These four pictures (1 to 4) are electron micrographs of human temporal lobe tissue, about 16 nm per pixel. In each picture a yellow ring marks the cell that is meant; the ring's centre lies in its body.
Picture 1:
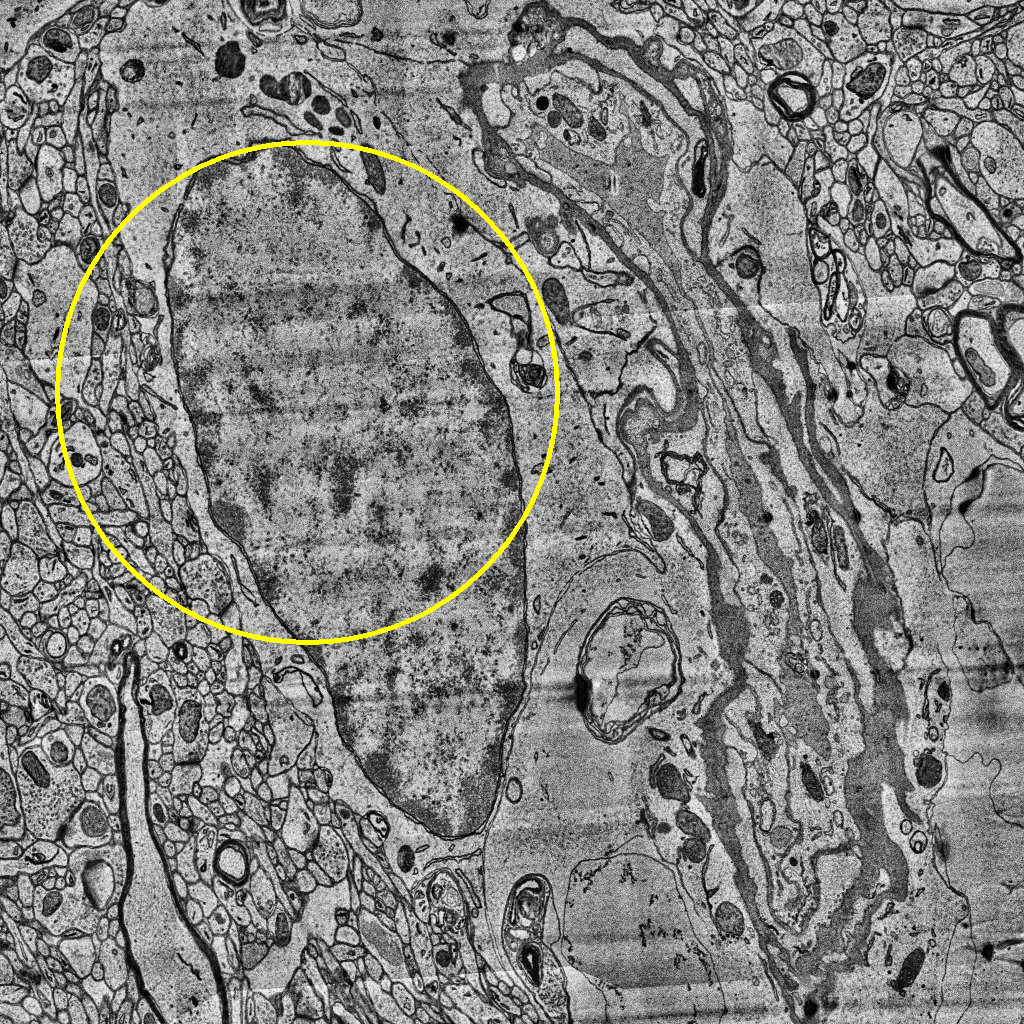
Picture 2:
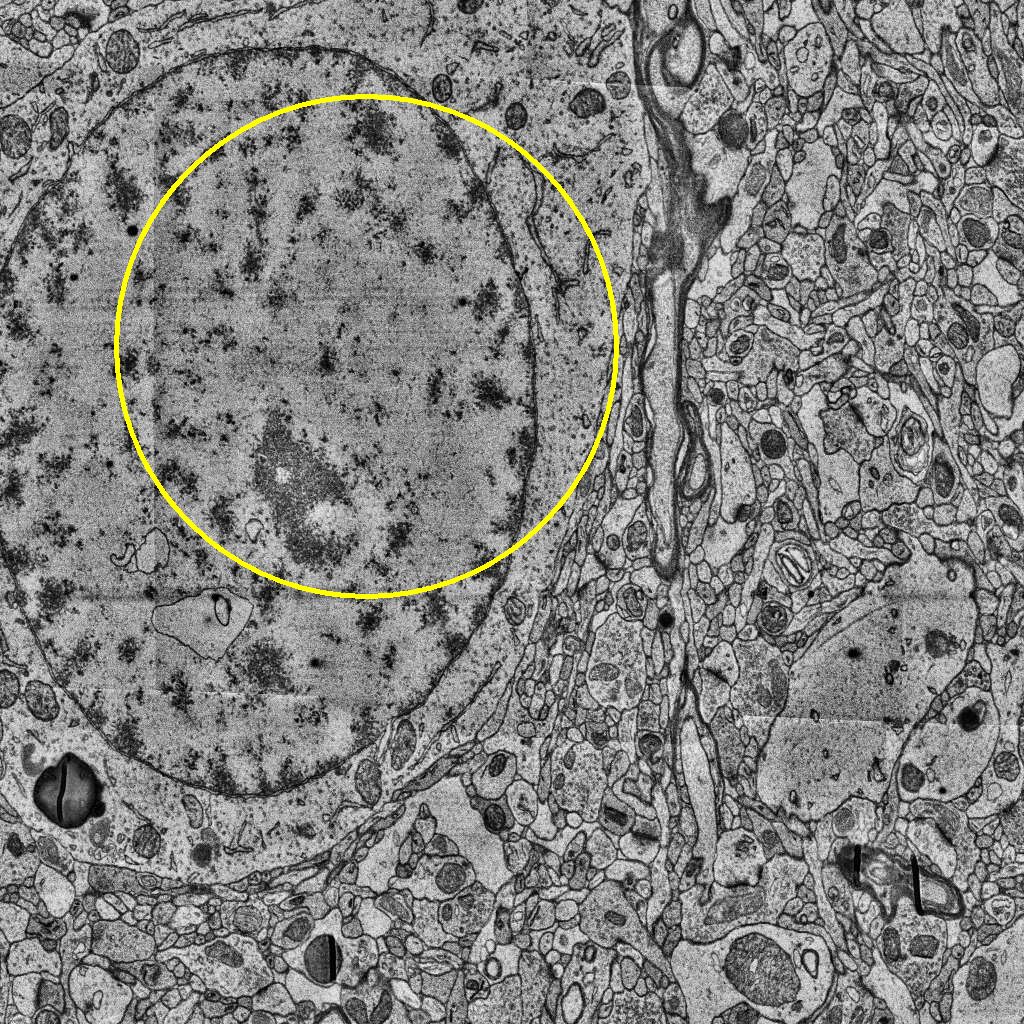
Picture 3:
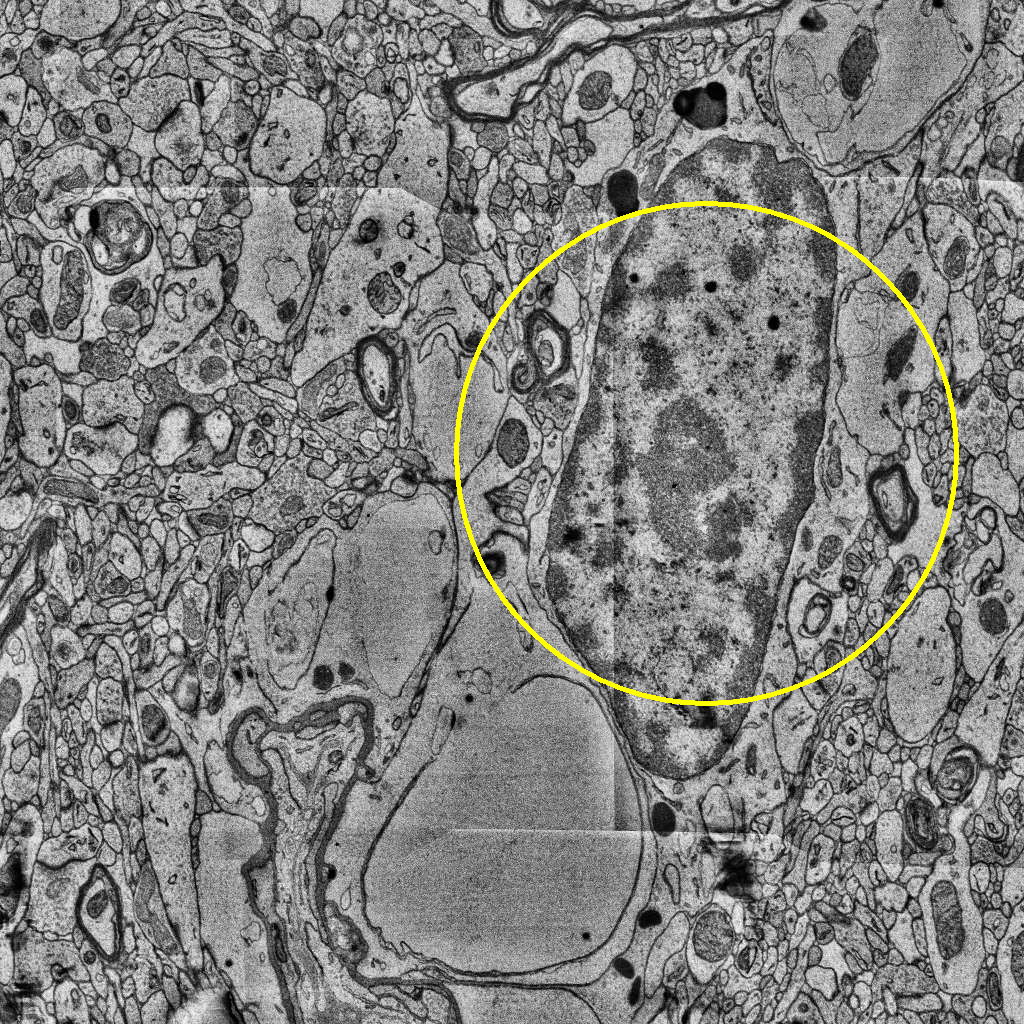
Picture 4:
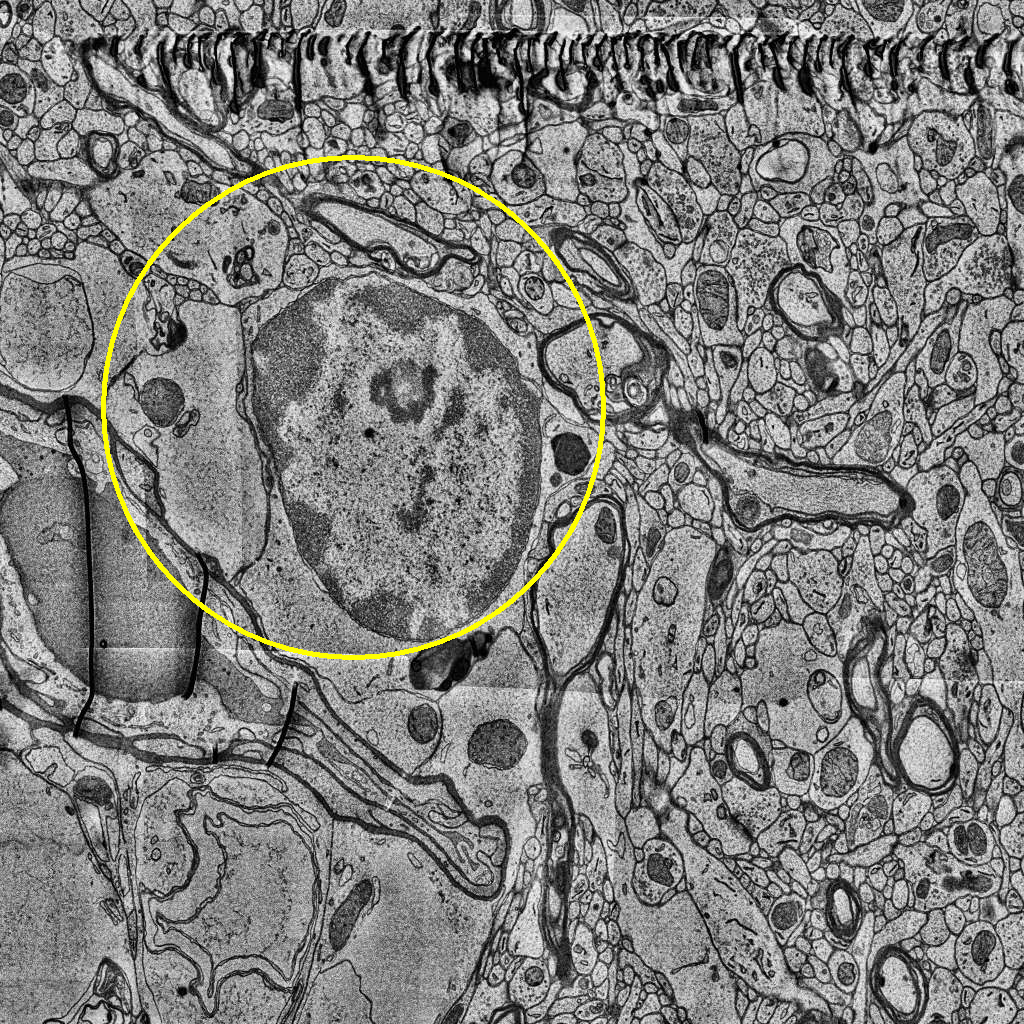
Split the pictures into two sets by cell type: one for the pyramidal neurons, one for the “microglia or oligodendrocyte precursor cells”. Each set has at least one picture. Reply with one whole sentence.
Picture 2 shows a pyramidal neuron; pictures 1, 3 and 4 show “microglia or oligodendrocyte precursor cells”.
